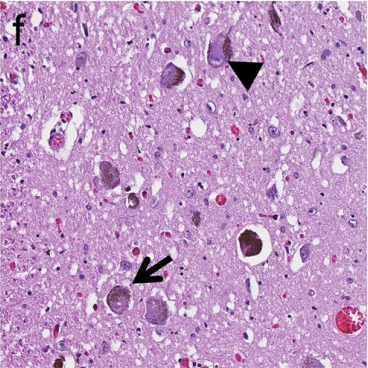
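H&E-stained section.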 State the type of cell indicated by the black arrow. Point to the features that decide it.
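The arrow points to a large cell body containing dark brown granular pigment. Only a few such pigmented cell bodies are present in the field.
Pigmented neurons.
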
